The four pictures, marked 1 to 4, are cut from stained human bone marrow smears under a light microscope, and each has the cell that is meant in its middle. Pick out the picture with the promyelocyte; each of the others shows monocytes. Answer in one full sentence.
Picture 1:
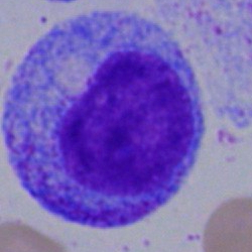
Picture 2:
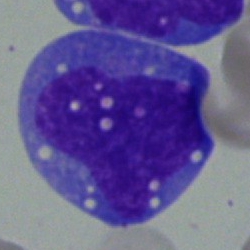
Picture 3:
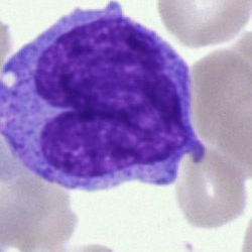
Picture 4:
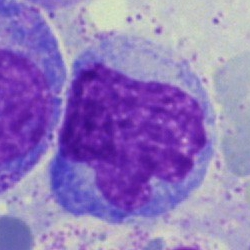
Picture 1 shows the promyelocyte.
